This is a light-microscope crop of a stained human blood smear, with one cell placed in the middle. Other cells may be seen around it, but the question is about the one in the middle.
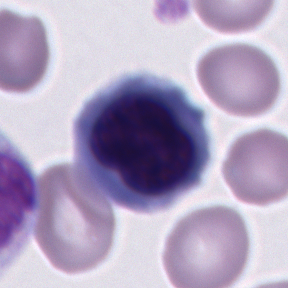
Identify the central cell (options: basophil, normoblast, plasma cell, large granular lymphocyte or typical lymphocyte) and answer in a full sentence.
The cell centred in this crop is categorized as a normoblast.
